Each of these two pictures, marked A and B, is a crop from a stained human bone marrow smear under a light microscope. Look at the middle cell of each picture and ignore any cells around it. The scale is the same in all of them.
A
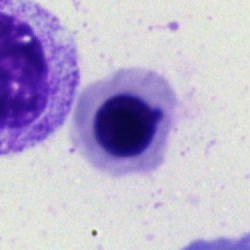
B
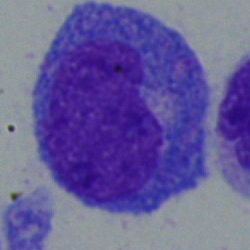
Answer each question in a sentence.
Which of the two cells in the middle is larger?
The cell in crop B is larger, with about 3 times the area of the one in crop A.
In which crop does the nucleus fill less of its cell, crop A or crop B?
In crop A the nucleus takes up the smaller part of its cell.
